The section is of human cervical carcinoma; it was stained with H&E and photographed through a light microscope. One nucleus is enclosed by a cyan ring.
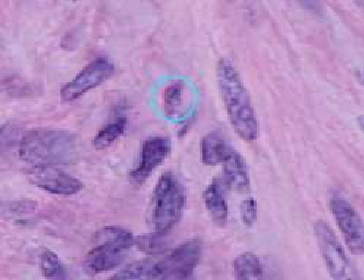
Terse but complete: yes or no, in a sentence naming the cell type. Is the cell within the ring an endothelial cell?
No, the cell within the ring is a smooth muscle cell rather than an endothelial cell.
